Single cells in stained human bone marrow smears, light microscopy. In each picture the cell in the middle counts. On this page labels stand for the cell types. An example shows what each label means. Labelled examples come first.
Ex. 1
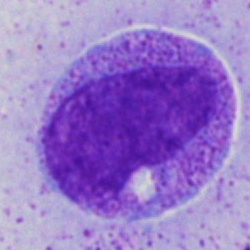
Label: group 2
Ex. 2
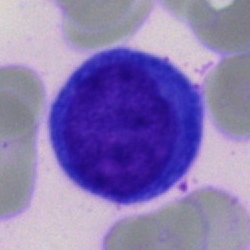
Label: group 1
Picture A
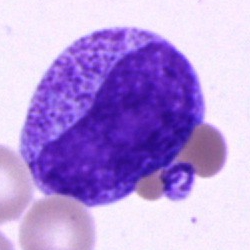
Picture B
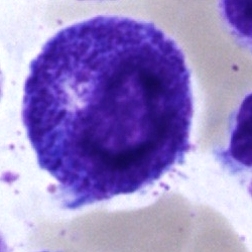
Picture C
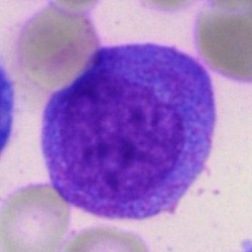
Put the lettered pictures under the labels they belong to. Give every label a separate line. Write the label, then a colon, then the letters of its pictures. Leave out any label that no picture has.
group 2: A, B, C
